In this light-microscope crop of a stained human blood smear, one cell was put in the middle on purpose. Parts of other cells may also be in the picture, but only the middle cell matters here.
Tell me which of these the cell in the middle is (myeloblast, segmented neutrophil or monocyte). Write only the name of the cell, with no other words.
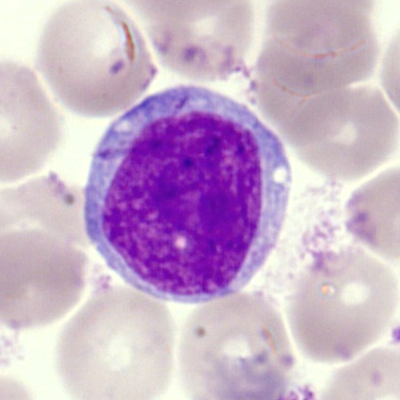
myeloblast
